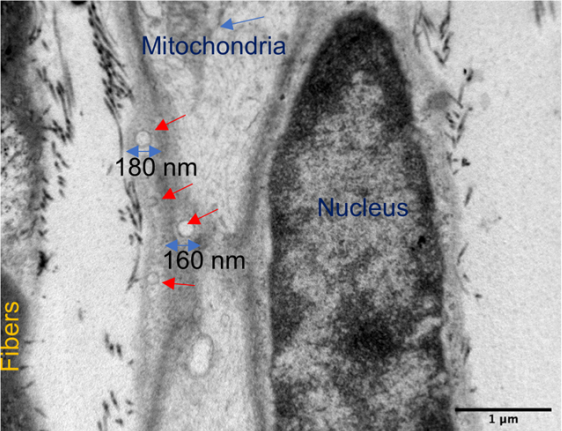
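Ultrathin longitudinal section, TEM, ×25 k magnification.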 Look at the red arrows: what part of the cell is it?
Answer: vesicles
